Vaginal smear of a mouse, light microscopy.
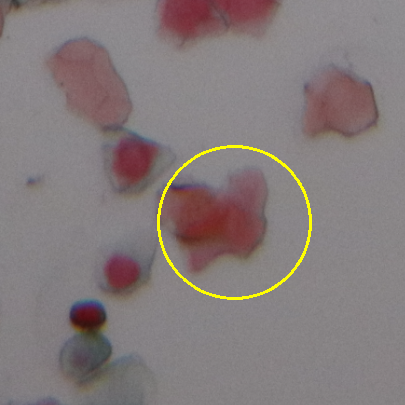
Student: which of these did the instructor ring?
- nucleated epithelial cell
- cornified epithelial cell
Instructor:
The cell I ringed is a cornified epithelial cell.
